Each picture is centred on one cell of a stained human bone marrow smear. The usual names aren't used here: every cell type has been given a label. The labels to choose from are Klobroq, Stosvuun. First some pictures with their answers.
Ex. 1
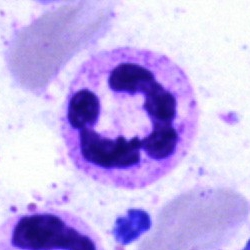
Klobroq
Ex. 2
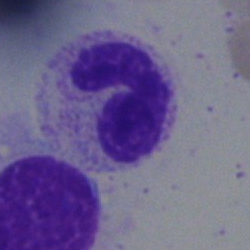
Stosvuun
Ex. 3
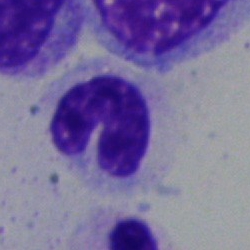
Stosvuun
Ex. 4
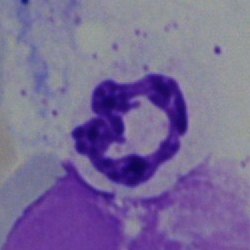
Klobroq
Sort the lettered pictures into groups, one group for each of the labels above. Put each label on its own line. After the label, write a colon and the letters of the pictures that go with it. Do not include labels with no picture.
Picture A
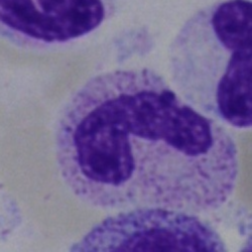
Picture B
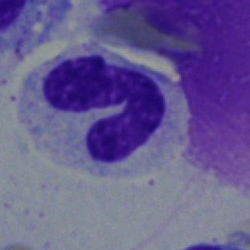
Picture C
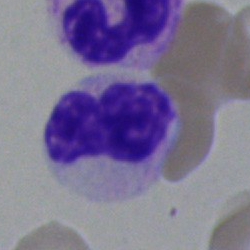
Klobroq: A
Stosvuun: B, C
